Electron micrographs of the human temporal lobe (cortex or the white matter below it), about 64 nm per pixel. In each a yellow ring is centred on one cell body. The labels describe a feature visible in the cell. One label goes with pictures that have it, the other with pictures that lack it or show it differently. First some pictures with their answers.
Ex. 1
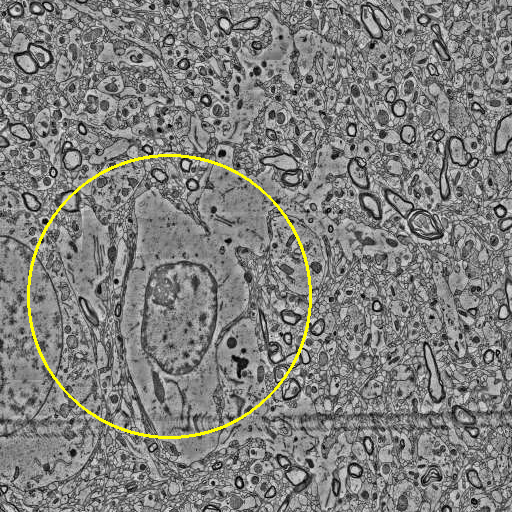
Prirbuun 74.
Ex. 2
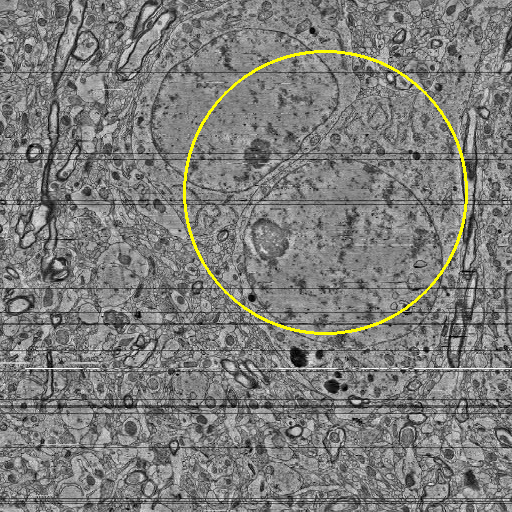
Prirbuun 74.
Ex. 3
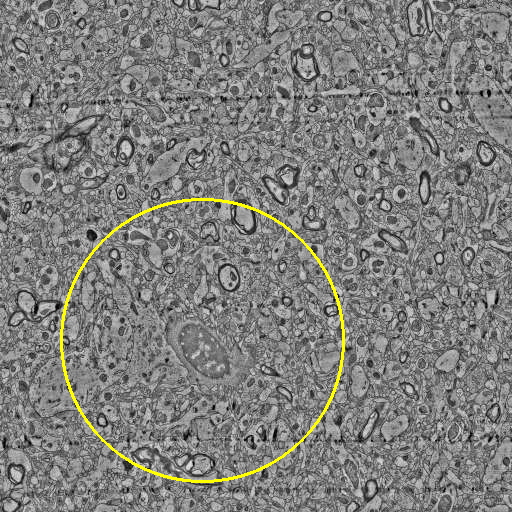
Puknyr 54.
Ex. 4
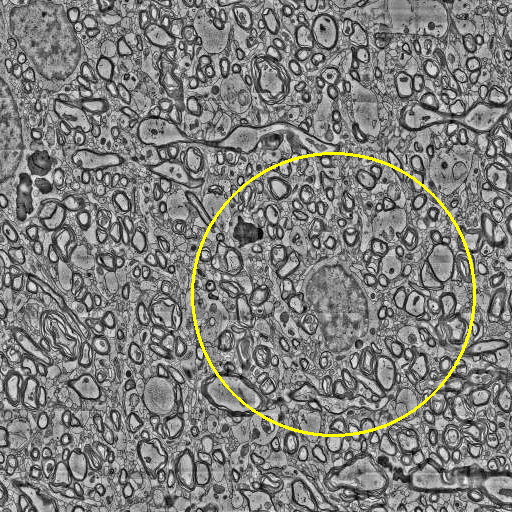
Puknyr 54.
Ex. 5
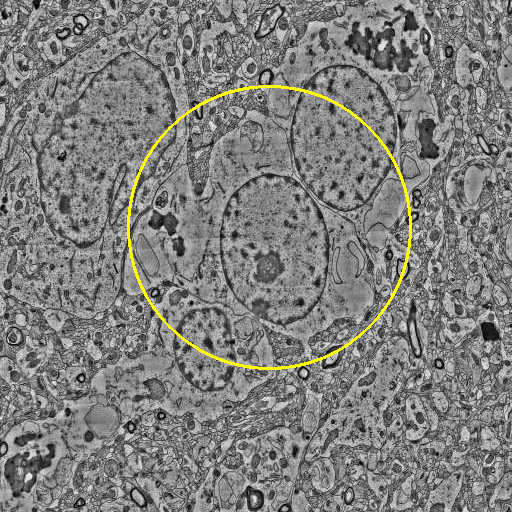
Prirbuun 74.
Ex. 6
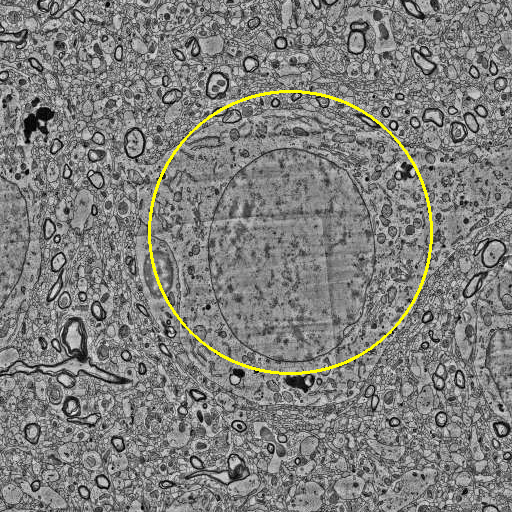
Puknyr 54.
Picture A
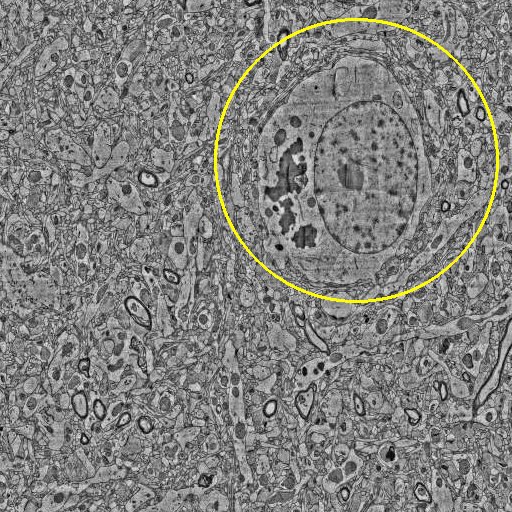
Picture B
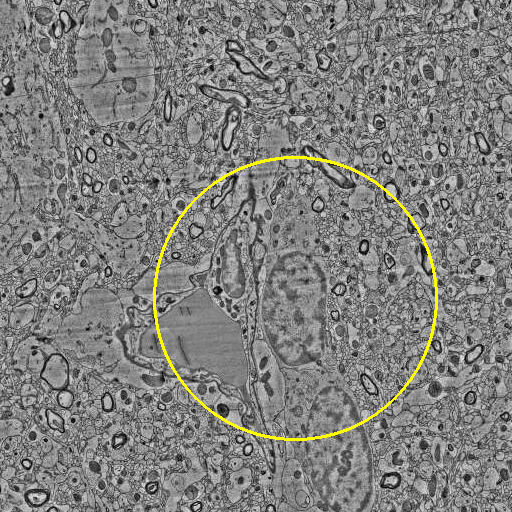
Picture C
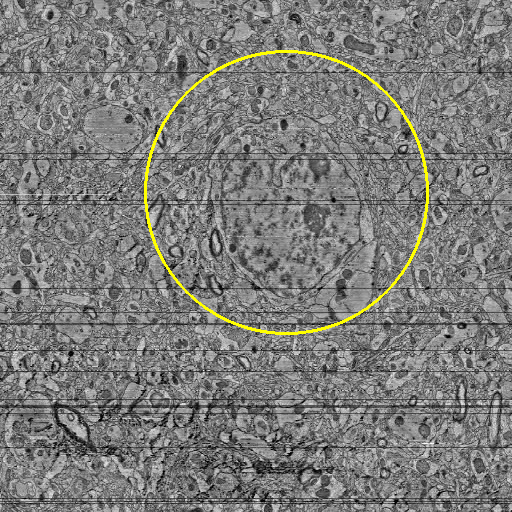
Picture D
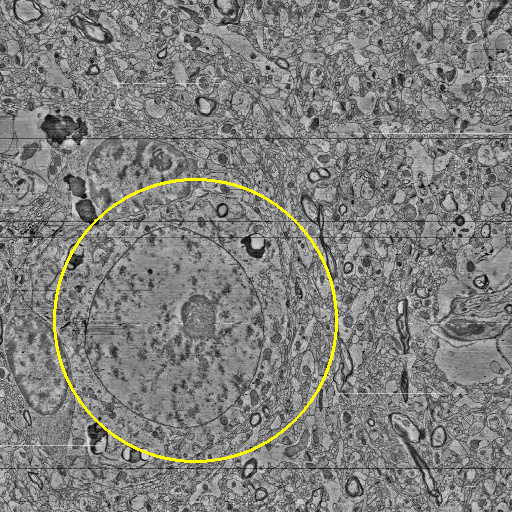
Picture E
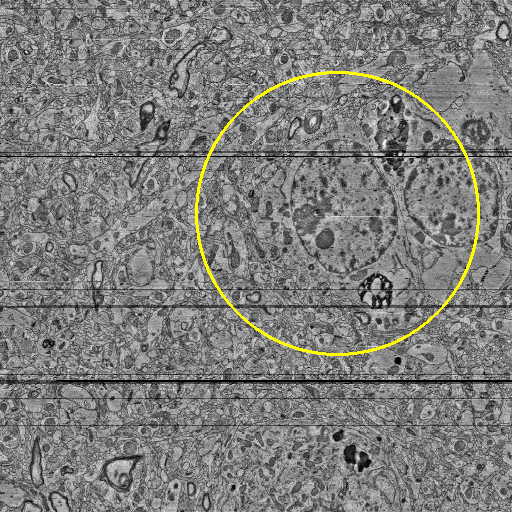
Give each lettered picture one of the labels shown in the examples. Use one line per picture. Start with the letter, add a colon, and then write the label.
A: Prirbuun 74.
B: Puknyr 54.
C: Prirbuun 74.
D: Prirbuun 74.
E: Prirbuun 74.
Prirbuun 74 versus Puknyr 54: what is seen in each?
Seen in Prirbuun 74: nucleolus seen; seen in Puknyr 54: no nucleolus seen.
